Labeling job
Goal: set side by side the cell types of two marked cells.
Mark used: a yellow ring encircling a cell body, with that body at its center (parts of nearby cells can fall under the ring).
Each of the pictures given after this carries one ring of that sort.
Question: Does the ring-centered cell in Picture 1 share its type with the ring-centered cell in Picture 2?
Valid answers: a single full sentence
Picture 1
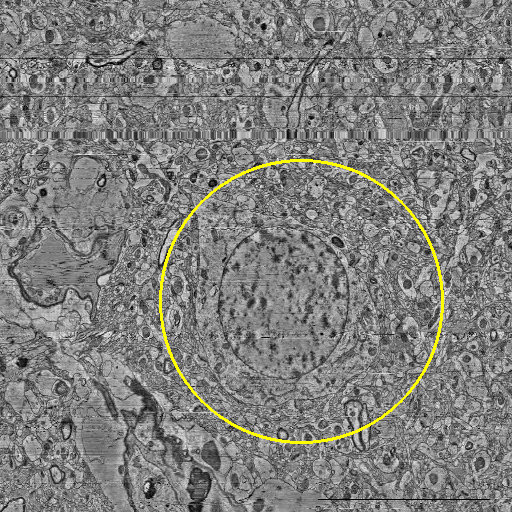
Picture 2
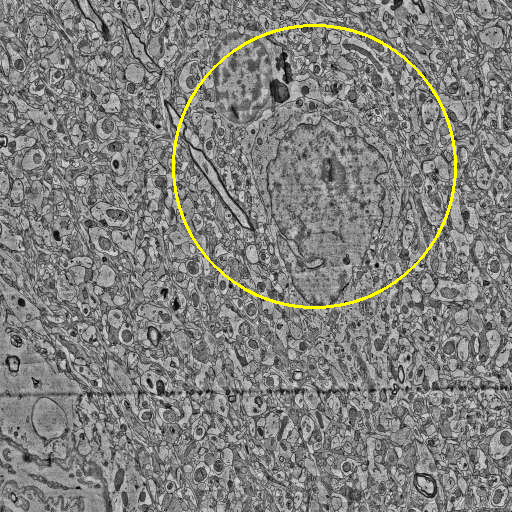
No, in Pictures 1 and 2 the cells at the ring centers have separate types.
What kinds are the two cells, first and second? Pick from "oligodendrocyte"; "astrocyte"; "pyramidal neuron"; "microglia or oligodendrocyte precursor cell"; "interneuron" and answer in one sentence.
The second picture holds an interneuron in its ring, and the first holds a pyramidal neuron.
